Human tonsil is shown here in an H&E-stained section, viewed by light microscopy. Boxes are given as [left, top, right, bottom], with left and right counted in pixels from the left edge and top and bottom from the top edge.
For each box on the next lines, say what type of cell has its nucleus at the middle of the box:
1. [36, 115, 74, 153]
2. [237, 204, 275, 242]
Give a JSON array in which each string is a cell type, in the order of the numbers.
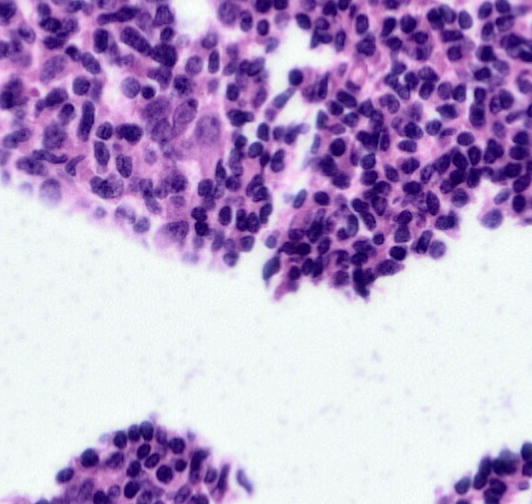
["proliferating B cell", "small lymphocyte"]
